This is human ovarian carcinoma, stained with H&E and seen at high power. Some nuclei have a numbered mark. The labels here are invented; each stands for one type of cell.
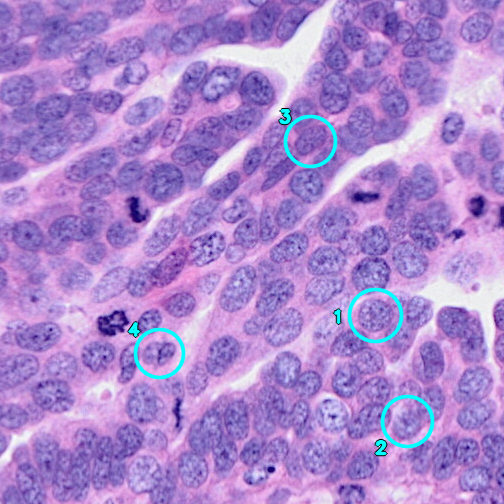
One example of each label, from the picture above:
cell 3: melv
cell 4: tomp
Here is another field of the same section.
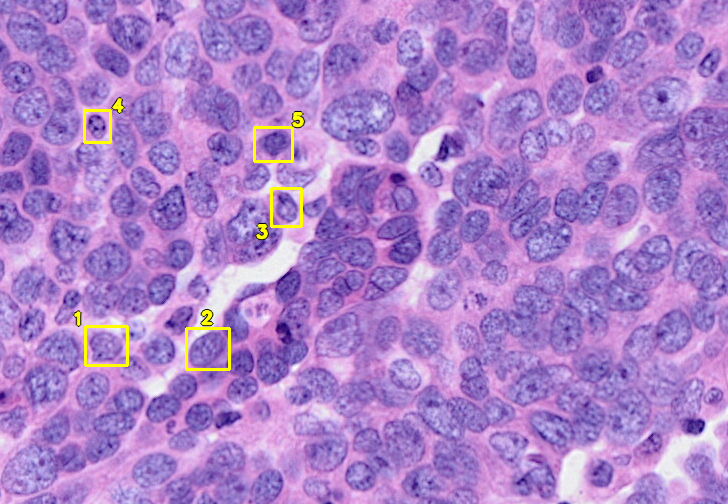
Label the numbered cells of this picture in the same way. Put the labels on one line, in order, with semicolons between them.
melv; melv; tomp; tomp; melv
